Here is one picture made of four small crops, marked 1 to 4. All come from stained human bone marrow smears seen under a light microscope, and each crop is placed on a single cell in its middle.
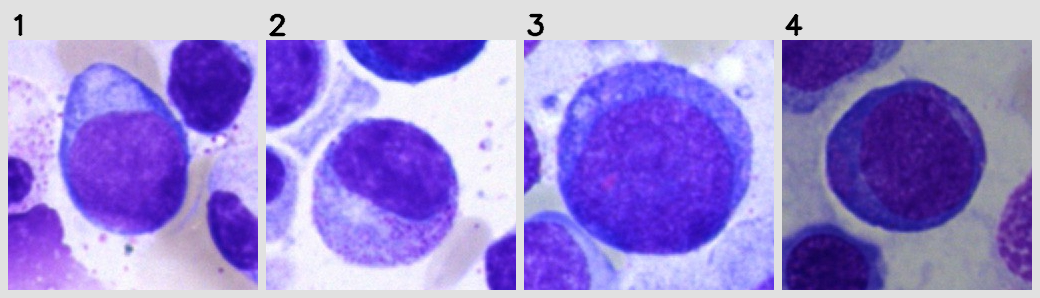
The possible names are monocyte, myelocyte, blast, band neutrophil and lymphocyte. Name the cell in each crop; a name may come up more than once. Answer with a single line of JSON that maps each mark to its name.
{"1": "blast", "2": "myelocyte", "3": "blast", "4": "blast"}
